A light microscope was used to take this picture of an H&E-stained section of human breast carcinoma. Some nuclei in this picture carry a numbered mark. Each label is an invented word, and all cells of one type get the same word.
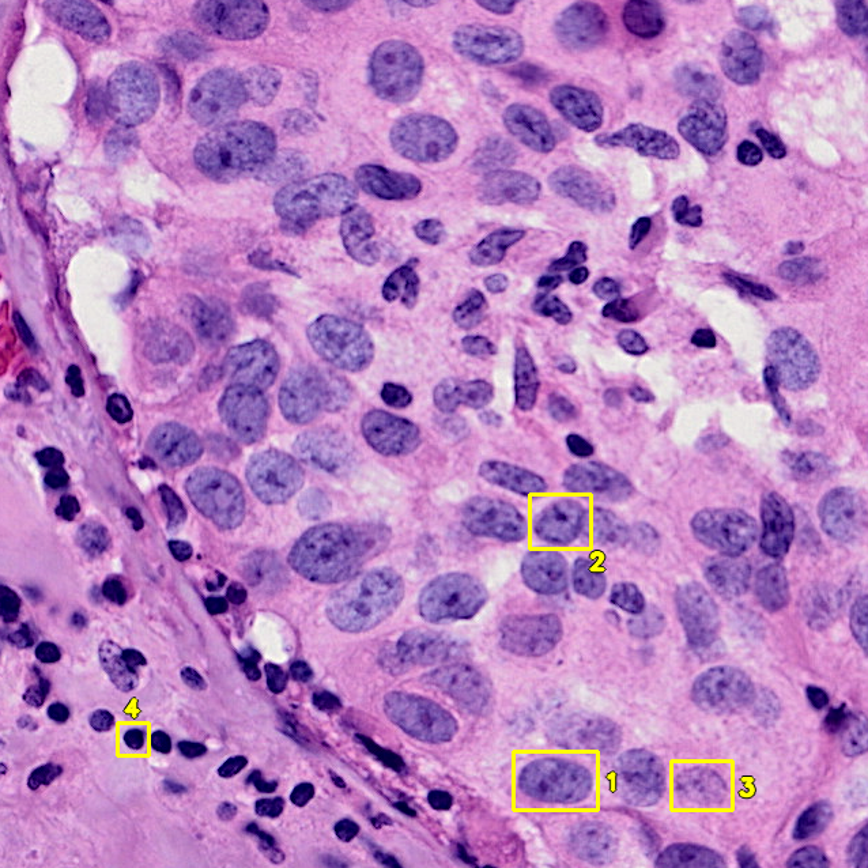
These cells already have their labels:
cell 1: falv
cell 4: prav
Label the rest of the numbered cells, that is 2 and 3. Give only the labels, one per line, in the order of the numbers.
falv
falv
